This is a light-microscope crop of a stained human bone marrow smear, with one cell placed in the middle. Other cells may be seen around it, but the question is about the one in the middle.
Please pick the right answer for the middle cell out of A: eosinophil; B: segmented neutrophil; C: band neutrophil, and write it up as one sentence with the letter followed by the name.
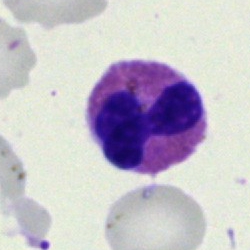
Option A is to be chosen, as the central cell is an eosinophil.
